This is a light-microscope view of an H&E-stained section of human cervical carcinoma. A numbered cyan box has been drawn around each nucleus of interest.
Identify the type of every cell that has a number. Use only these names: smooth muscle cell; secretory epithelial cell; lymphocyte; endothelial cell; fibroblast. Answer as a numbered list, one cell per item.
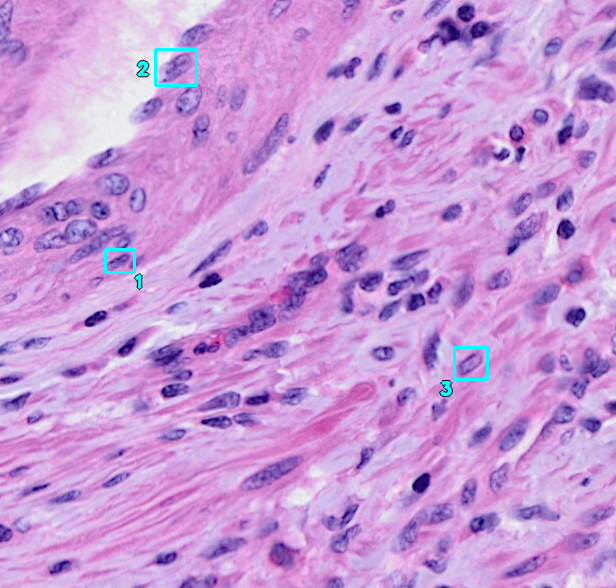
1. smooth muscle cell
2. endothelial cell
3. smooth muscle cell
